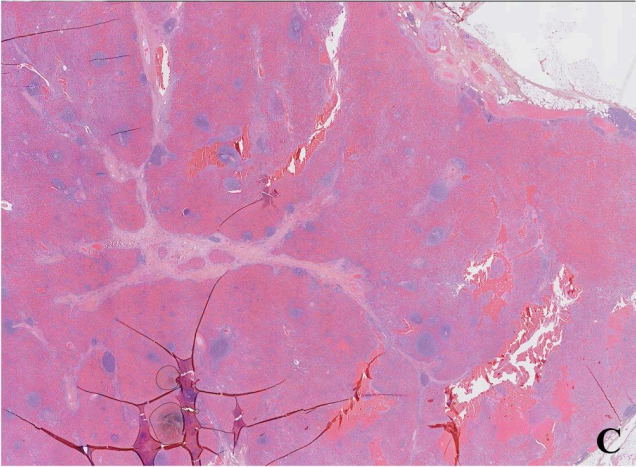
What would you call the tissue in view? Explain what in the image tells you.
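Dense pink-red parenchyma fills most of the section. Small rounded purple-blue nodules are scattered through the parenchyma. Pale branching bands run through the tissue.
Splenic tissue.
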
